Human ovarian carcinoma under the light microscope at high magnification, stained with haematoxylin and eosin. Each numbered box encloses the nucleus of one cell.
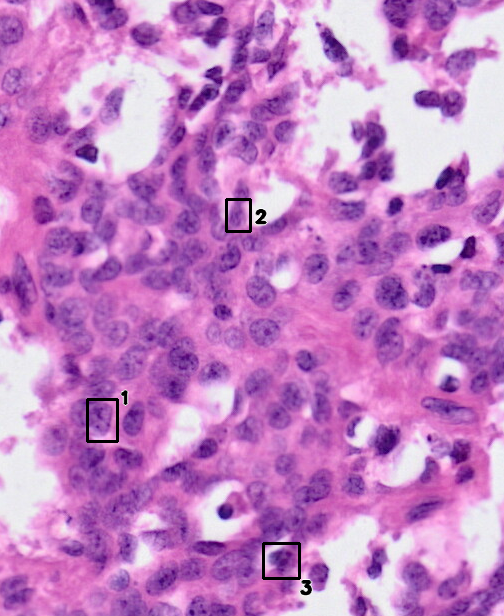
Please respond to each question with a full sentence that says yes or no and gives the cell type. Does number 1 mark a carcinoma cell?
No, with respect, cell 1 is a macrophage or monocyte rather than a carcinoma cell.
